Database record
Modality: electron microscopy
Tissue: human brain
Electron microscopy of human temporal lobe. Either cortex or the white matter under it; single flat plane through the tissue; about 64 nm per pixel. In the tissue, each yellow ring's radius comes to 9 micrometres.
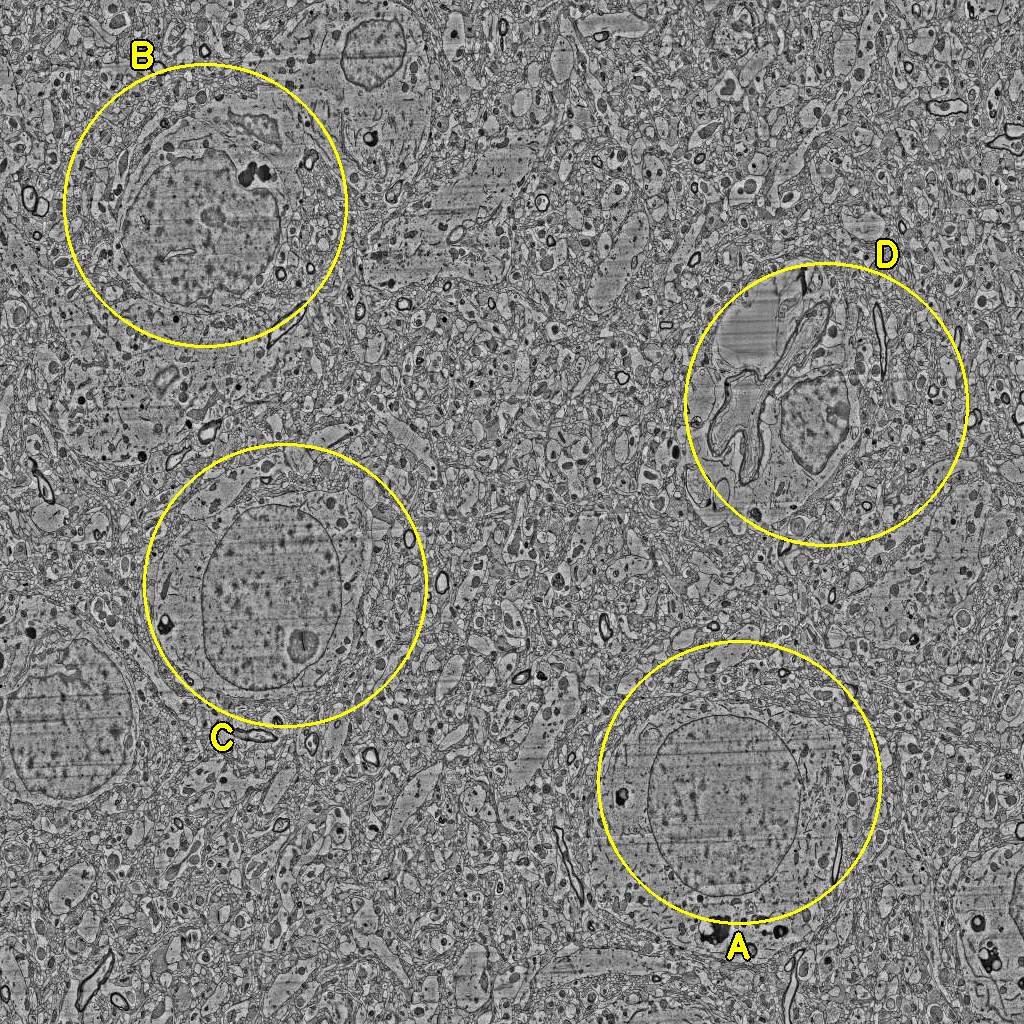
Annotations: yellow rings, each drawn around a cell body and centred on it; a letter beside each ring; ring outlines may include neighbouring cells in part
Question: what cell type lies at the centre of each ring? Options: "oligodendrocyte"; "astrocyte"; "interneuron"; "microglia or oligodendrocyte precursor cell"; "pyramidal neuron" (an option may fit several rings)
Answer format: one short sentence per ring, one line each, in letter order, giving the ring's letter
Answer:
Ring A corresponds to a pyramidal neuron.
Ring B corresponds to an interneuron.
Ring C corresponds to a pyramidal neuron.
Ring D corresponds to a microglial cell or oligodendrocyte precursor cell.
